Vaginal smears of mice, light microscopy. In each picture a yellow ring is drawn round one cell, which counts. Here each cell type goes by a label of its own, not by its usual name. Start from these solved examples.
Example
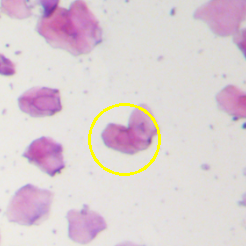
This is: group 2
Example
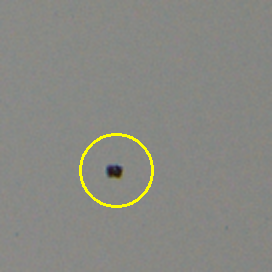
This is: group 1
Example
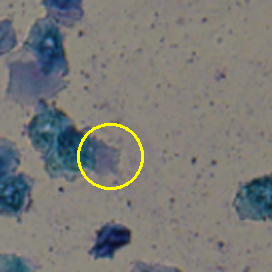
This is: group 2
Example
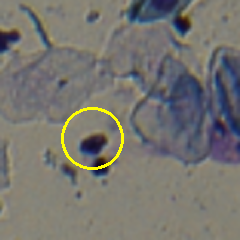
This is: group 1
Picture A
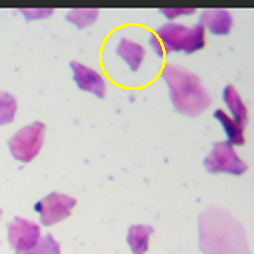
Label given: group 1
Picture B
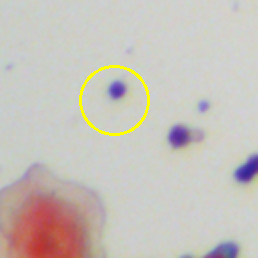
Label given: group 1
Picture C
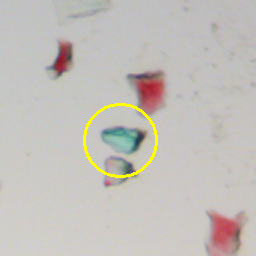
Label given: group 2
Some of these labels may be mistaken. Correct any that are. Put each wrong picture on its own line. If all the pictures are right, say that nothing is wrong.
A: group 2, not group 1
